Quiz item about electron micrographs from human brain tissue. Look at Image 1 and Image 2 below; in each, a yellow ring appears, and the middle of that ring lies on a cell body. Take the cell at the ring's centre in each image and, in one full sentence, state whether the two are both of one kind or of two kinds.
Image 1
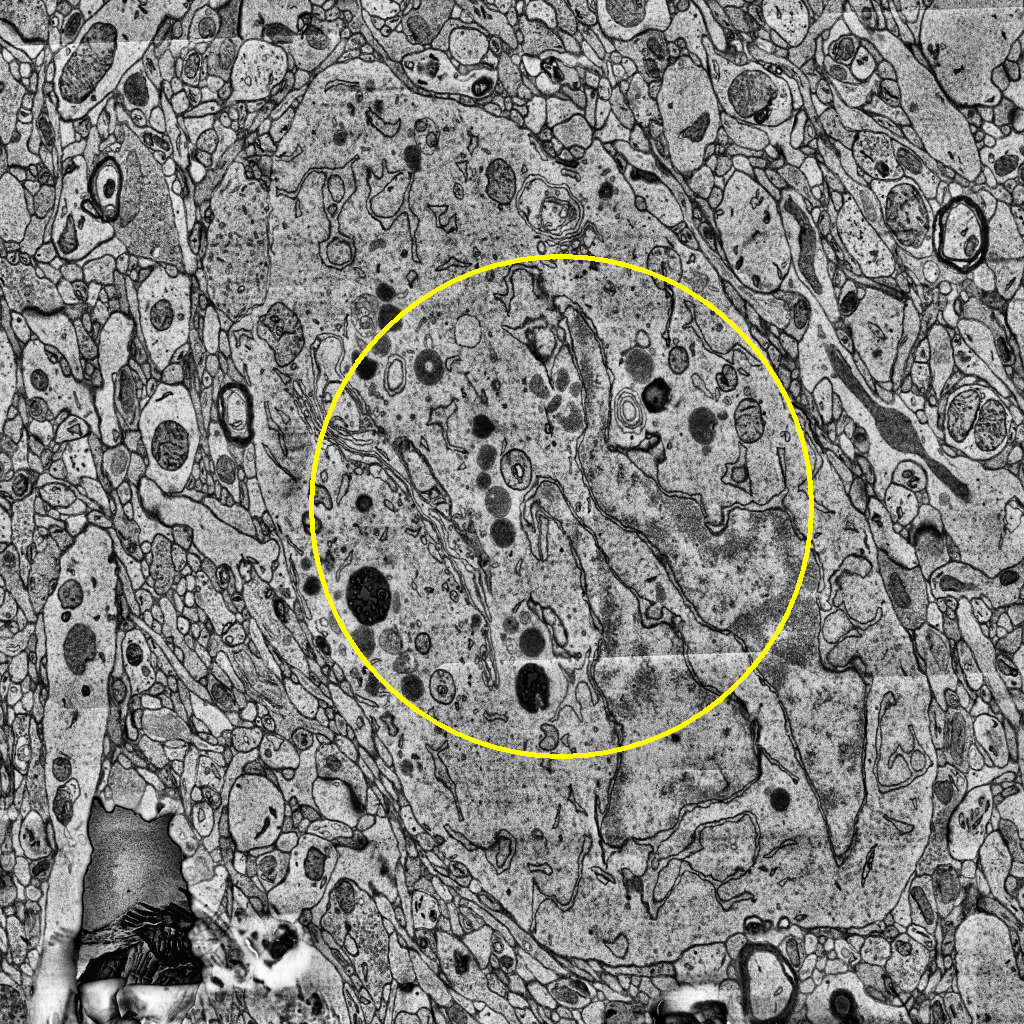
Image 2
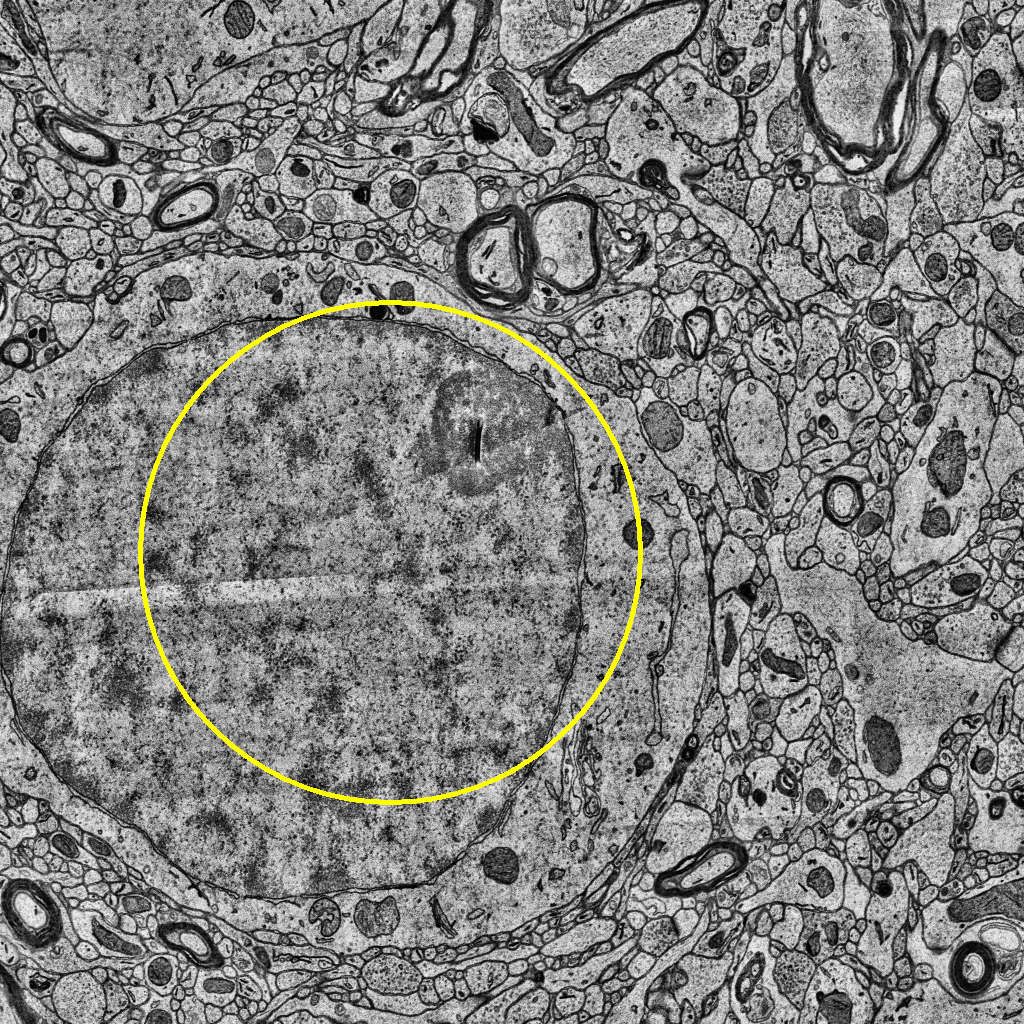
In Image 1 and Image 2, the cells at the ring centres are both of one kind.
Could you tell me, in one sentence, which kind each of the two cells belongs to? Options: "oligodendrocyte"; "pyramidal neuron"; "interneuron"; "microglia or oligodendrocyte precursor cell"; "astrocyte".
Both cells are the same kind, each one being an interneuron.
